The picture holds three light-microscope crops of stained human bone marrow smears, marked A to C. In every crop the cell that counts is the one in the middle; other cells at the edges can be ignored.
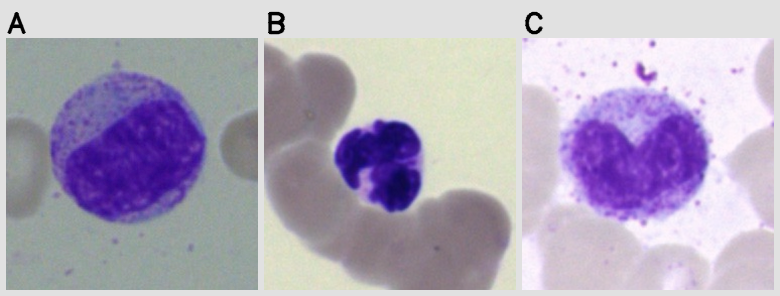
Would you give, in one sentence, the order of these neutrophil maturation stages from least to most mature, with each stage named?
The least to most mature sequence reads crop A (a myelocyte), crop C (a metamyelocyte) and crop B (a segmented neutrophil).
